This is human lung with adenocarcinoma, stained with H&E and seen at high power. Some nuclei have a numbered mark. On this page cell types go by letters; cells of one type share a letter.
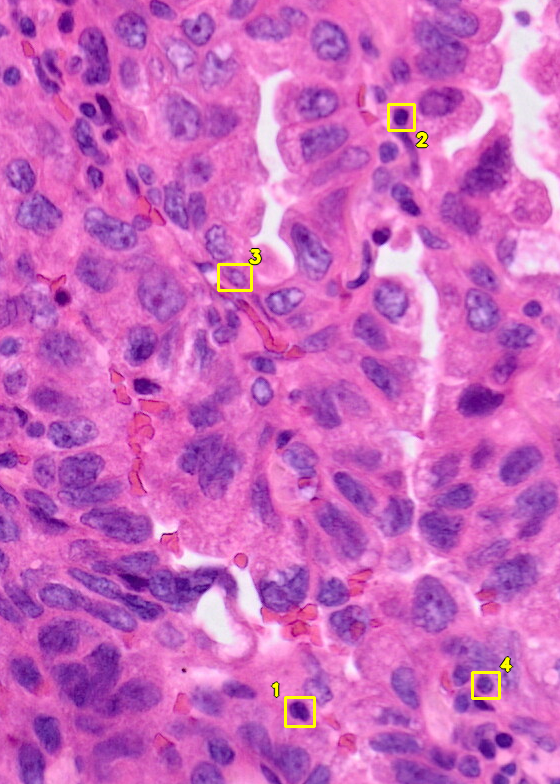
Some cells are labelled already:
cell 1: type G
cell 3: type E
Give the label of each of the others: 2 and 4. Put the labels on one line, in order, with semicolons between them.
type G; type G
